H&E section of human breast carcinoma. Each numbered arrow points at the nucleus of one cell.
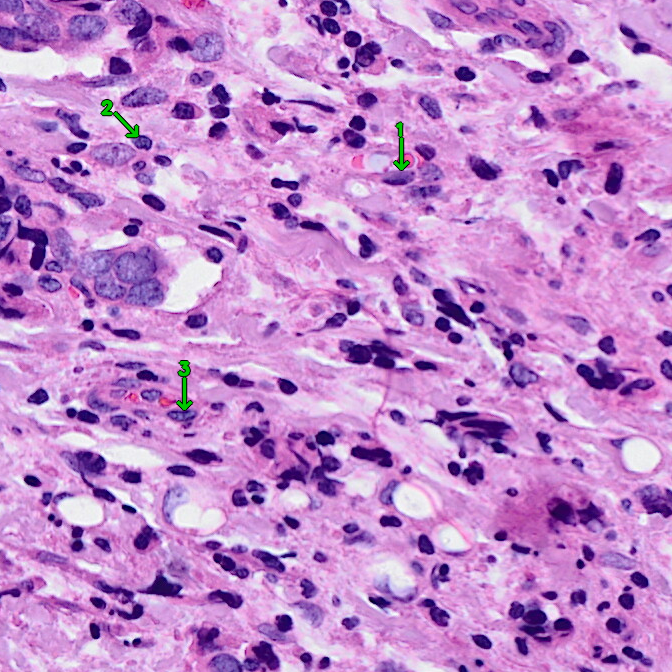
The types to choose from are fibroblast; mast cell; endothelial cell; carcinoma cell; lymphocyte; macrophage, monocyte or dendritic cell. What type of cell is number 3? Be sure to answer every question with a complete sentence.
The cell tagged with 3 in this tissue section is an endothelial cell.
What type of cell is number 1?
The cell identified by number 1 is an endothelial cell.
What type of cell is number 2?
Nucleus 2 in this section belongs to a lymphocyte.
